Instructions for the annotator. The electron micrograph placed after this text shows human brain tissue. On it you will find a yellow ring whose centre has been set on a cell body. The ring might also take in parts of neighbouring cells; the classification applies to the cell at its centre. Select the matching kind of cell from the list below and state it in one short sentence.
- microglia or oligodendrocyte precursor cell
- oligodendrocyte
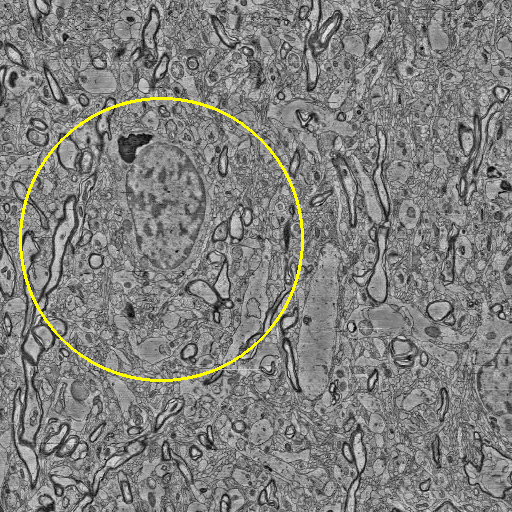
The ring is drawn on the cell body of an oligodendrocyte.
